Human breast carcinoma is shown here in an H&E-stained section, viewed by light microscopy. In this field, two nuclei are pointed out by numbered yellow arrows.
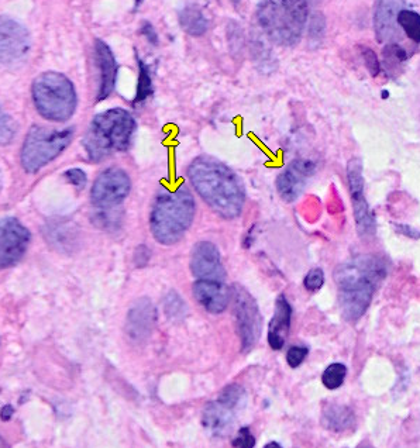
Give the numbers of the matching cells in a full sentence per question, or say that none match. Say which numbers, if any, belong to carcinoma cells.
Of all the numbered cells, only one is a carcinoma cell, and that is cell 2.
